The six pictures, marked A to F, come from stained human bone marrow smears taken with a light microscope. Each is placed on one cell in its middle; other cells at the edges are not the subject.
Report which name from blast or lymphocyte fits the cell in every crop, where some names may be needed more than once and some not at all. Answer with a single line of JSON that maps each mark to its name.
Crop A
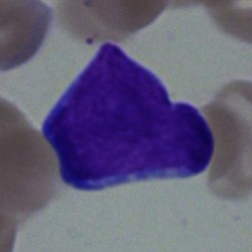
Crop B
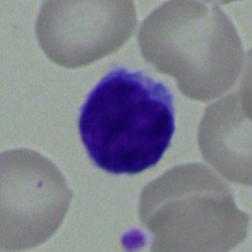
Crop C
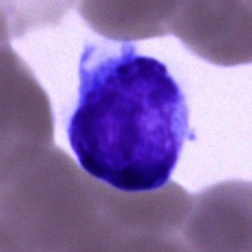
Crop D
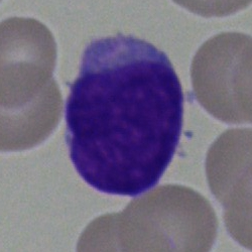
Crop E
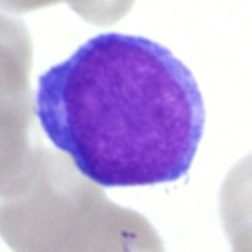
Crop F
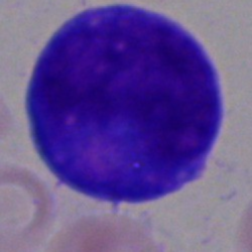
{"A": "blast", "B": "lymphocyte", "C": "lymphocyte", "D": "blast", "E": "blast", "F": "blast"}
